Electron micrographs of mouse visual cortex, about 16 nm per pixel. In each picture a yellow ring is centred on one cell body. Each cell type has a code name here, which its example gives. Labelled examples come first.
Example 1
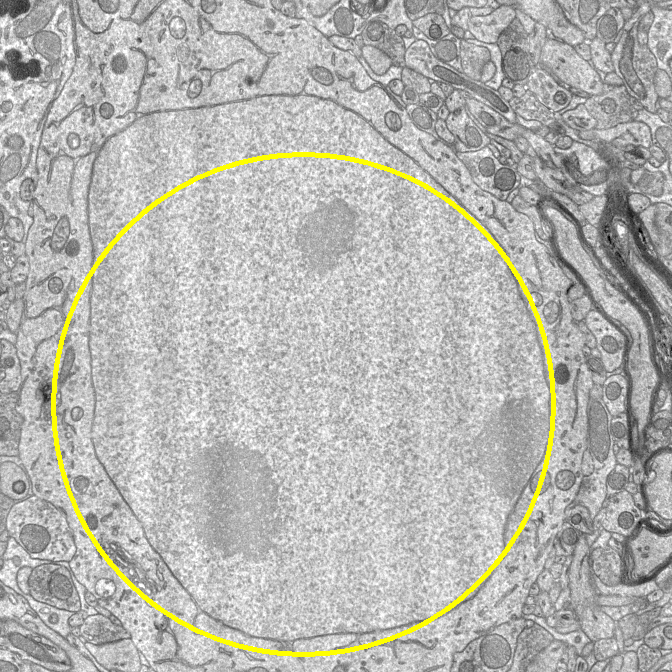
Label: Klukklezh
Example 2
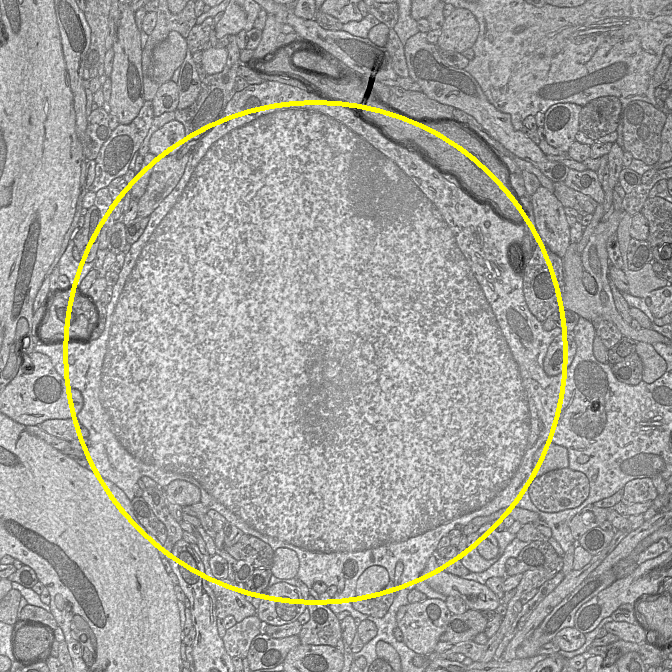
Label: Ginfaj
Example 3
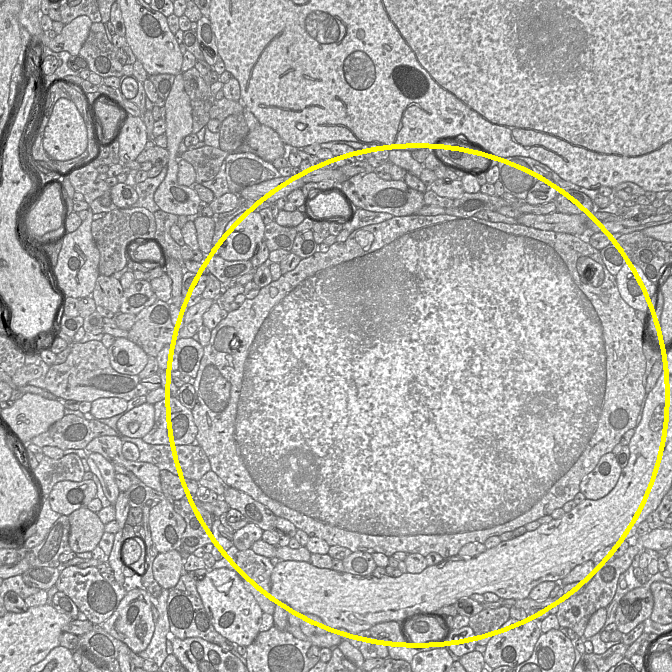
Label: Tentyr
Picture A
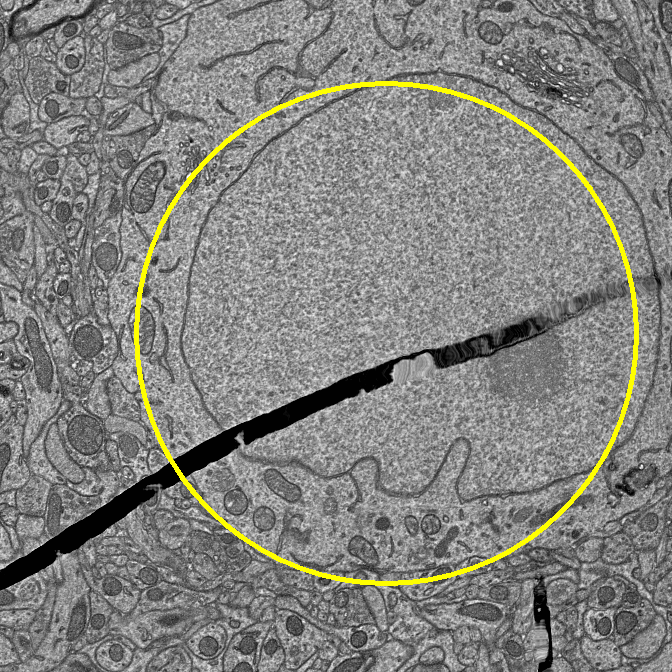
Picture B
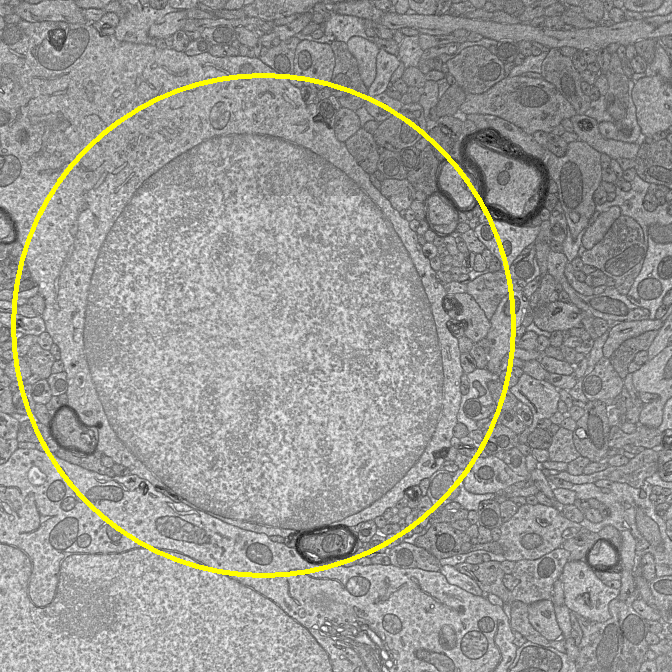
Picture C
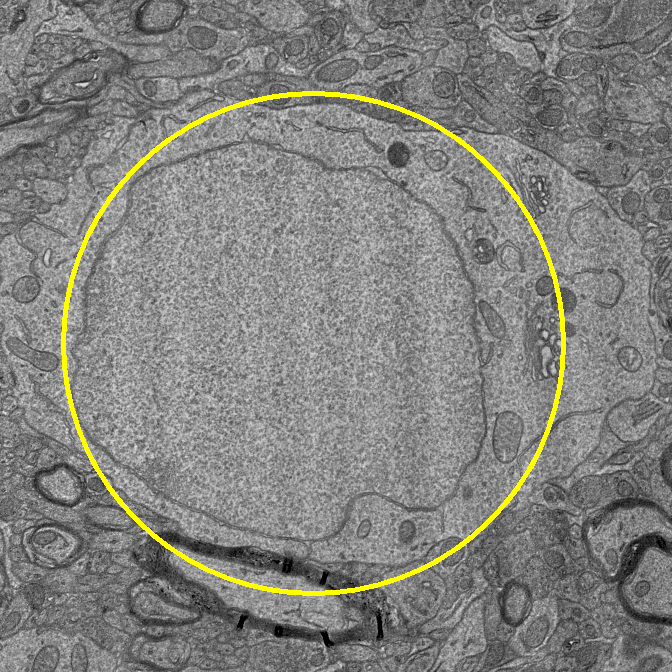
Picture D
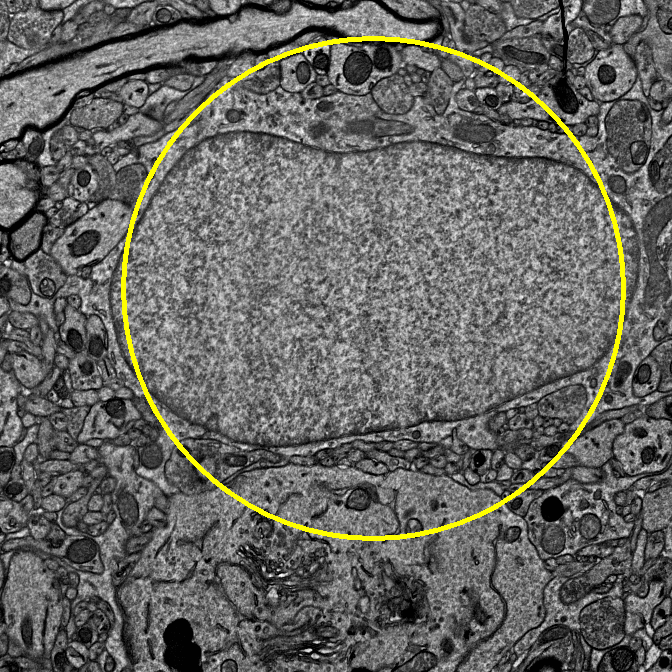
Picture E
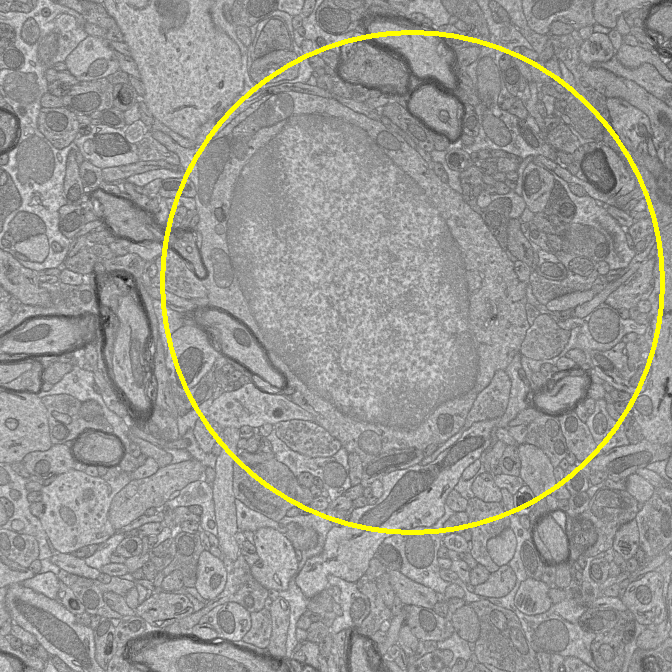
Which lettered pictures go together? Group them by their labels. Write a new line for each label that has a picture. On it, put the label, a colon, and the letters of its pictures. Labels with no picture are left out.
Klukklezh: A, C
Ginfaj: D
Tentyr: B, E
